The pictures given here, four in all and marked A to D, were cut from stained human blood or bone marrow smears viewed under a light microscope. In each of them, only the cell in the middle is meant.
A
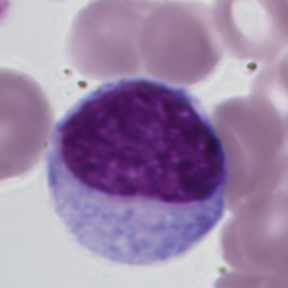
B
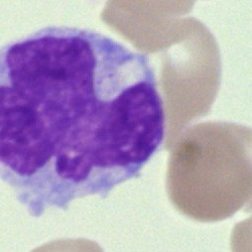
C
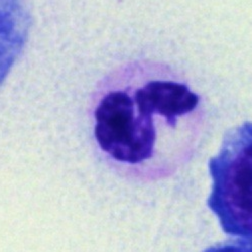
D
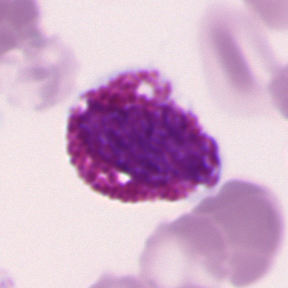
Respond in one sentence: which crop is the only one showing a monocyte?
In this set, crop B is the one showing a monocyte.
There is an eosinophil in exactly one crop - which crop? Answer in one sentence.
It is in crop D that an eosinophil is shown.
